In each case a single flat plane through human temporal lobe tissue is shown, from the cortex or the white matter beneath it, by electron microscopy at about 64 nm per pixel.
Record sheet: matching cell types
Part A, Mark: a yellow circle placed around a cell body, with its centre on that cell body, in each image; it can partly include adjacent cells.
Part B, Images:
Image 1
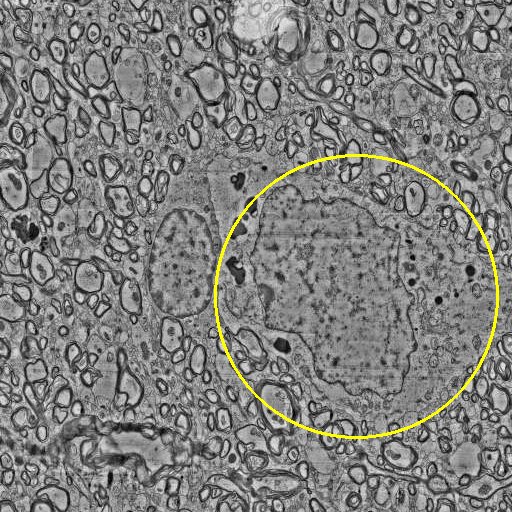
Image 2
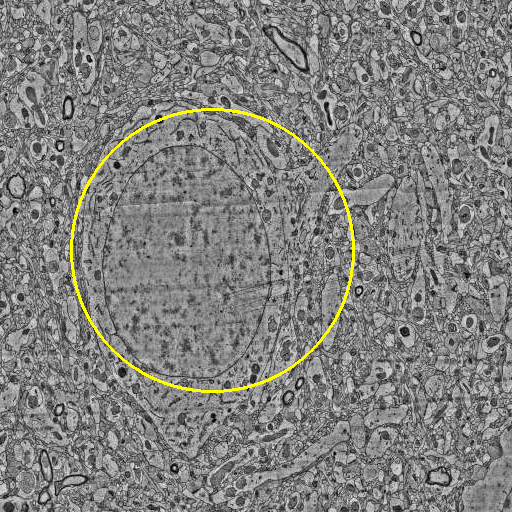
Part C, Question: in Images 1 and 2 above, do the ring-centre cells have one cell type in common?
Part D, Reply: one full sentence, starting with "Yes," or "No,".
Yes, the ring-centre cells of Image 1 and Image 2 are both of a single cell type.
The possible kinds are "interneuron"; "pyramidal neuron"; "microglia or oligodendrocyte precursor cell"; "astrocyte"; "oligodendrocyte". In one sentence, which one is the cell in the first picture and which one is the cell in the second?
In each picture the ringed cell is a pyramidal neuron.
